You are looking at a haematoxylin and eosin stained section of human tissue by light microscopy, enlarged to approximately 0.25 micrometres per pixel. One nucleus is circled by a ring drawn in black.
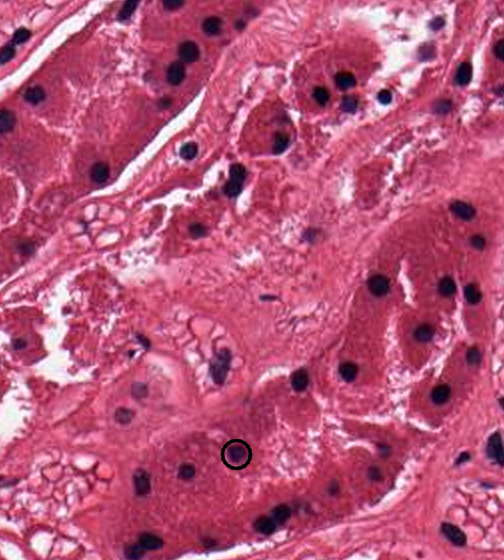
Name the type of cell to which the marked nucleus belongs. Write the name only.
proximal tubule cell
